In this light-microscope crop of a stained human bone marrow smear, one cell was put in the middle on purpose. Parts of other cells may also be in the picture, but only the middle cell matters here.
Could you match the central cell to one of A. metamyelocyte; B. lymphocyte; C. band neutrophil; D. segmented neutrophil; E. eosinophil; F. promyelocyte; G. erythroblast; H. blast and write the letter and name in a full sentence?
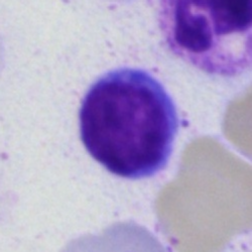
The cell in the middle is a lymphocyte, and so option B is correct.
